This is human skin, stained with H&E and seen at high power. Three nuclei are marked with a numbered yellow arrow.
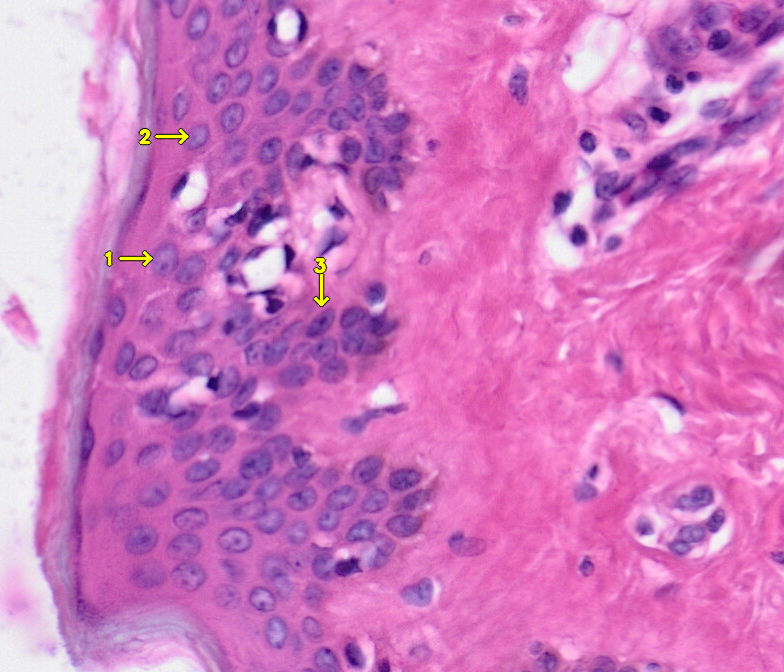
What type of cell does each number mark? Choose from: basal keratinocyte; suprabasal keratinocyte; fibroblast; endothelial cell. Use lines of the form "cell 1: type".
cell 1: suprabasal keratinocyte
cell 2: suprabasal keratinocyte
cell 3: basal keratinocyte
